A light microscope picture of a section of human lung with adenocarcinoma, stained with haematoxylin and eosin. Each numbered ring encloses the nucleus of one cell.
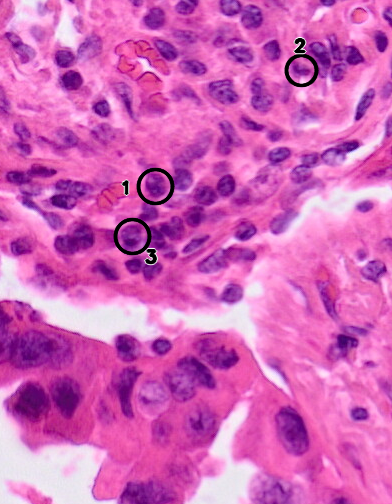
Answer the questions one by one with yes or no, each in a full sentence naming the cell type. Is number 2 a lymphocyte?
No, cell 2 is not a lymphocyte; a plasma cell is the correct identification.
